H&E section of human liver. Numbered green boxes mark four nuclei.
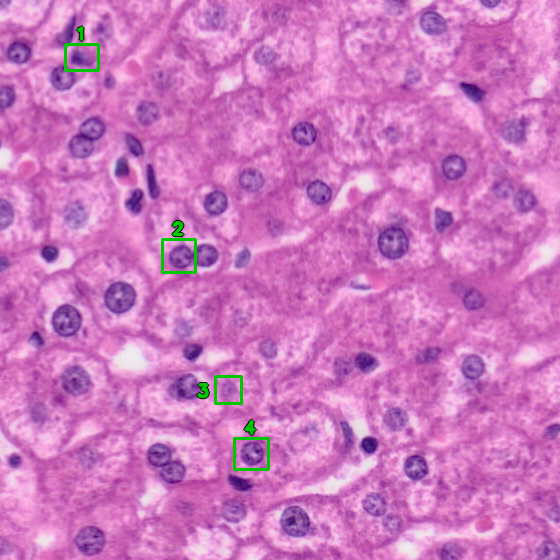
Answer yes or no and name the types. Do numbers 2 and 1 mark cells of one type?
No, cell 2 is a hepatocyte and cell 1 is a fibroblast or stellate cell.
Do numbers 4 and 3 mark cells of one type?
Yes, both are hepatocytes.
